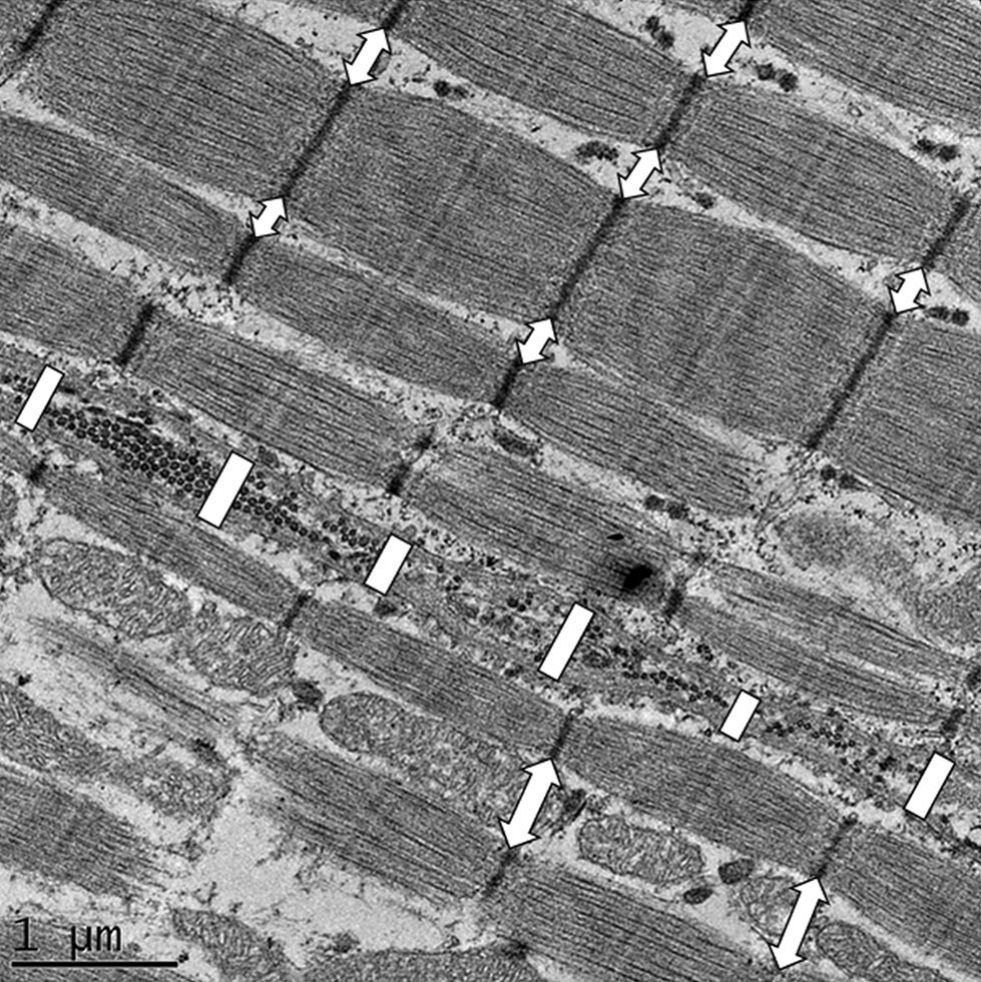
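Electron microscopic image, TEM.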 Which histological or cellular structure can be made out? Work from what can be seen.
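Narrow dark transverse lines cross the filament bundles at regular intervals. The dark lines line up across neighbouring bundles.
Hence: Z lines.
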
